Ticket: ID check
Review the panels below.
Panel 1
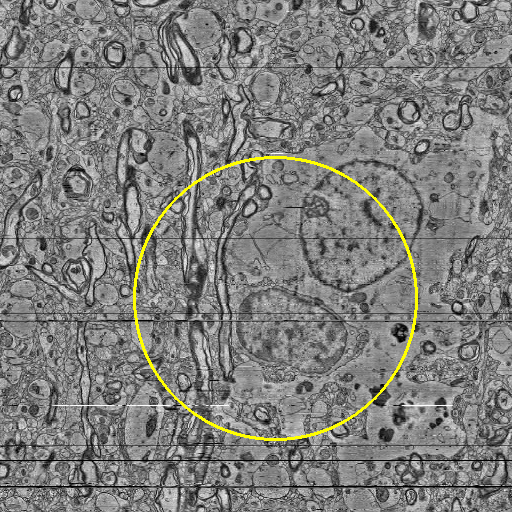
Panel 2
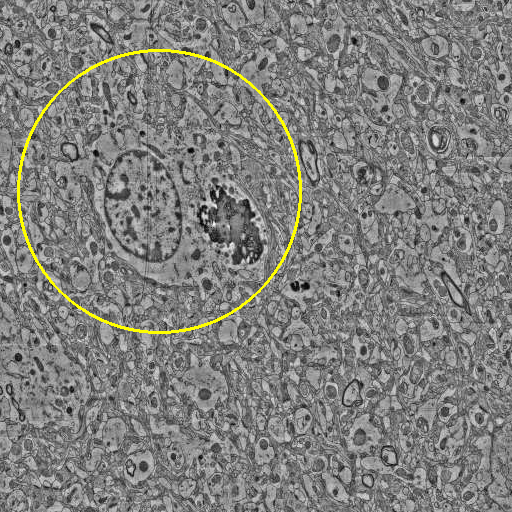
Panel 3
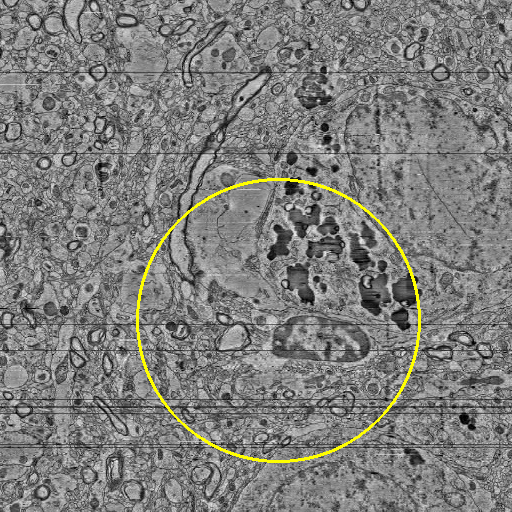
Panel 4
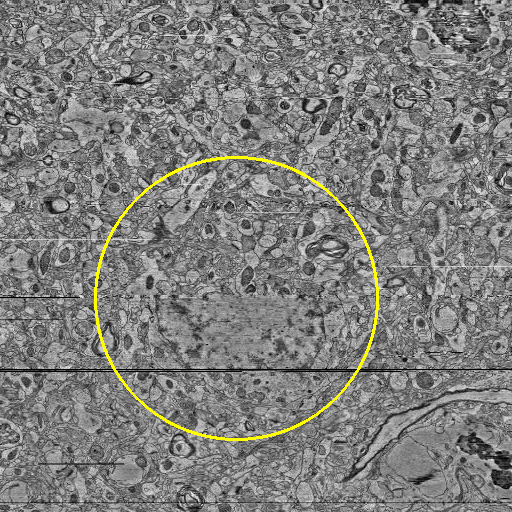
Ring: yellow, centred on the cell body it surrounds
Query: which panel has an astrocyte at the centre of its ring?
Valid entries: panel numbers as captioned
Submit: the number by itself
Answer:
2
